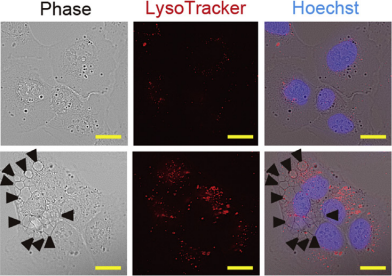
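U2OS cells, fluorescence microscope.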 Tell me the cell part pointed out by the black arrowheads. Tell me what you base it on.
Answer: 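Cytoplasmic vacuoles. The arrowheads point to round, clear, sharply rimmed spaces inside the cell bodies. The spaces lie in the cytoplasm around the blue-stained nuclei, not over them. The upper row of cells shows few such spaces.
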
